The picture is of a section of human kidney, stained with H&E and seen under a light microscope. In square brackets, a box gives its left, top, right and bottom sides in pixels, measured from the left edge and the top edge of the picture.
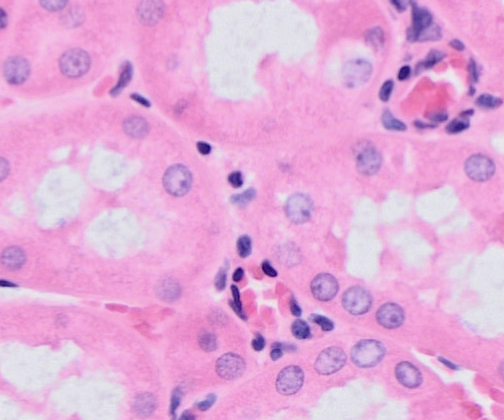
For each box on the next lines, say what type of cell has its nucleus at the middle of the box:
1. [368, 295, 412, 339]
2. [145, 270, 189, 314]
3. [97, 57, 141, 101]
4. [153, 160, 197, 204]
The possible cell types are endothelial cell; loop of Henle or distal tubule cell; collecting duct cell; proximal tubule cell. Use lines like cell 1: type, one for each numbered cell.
cell 1: proximal tubule cell
cell 2: proximal tubule cell
cell 3: endothelial cell
cell 4: proximal tubule cell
